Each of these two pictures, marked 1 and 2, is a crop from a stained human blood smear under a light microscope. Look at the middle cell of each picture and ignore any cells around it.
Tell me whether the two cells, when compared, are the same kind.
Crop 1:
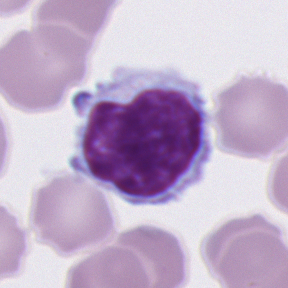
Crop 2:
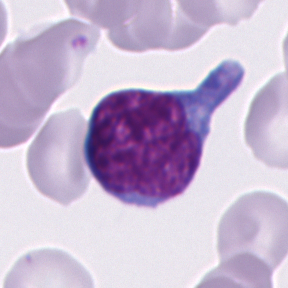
yes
